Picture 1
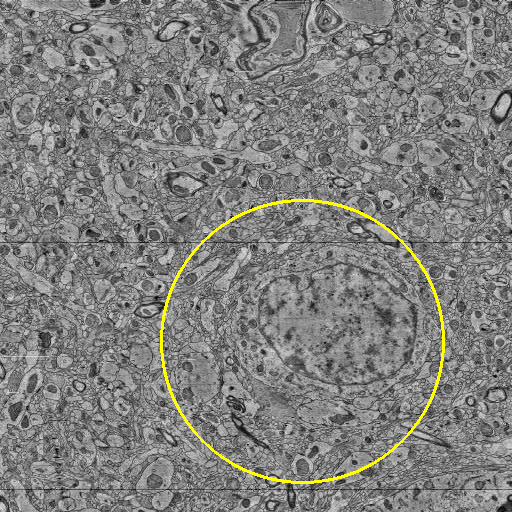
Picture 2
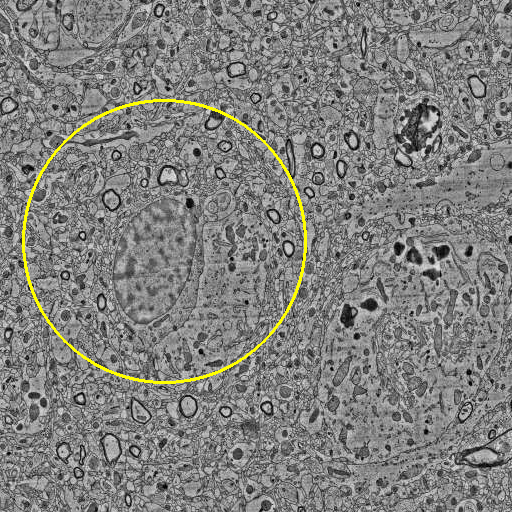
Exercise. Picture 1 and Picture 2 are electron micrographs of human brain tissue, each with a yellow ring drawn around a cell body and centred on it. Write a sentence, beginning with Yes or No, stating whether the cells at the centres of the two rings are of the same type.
No, the cells at the centres of the rings are of two types.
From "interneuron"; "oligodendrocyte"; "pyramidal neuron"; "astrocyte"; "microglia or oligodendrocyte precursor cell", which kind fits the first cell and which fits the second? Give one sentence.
The cell marked in the first picture is an interneuron, and the one marked in the second is an oligodendrocyte.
